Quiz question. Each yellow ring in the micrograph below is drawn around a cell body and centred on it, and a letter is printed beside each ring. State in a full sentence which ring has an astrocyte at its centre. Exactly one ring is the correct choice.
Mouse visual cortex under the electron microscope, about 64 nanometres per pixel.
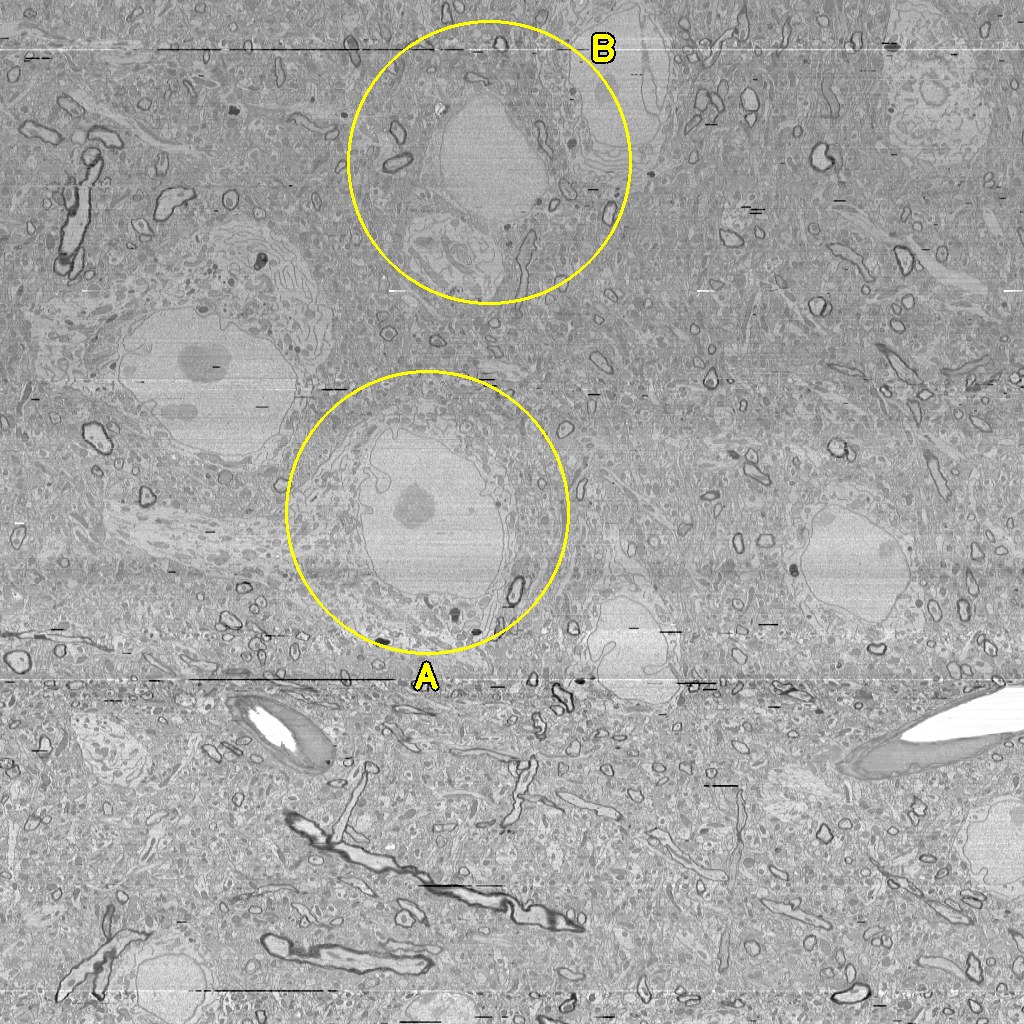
The correct ring is ring B.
